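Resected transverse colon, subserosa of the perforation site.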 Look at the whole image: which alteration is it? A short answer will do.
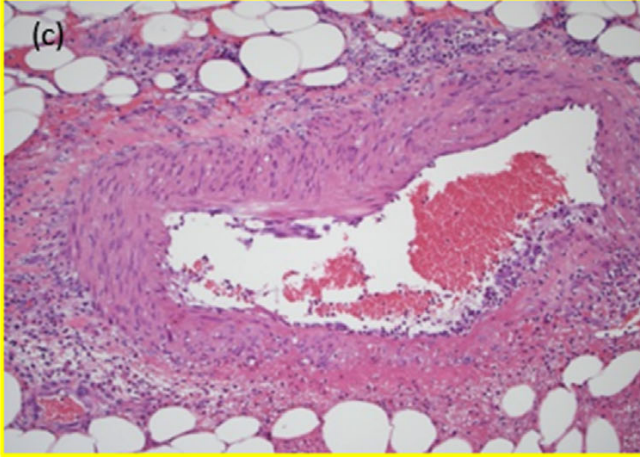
Inflammatory cell infiltrations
